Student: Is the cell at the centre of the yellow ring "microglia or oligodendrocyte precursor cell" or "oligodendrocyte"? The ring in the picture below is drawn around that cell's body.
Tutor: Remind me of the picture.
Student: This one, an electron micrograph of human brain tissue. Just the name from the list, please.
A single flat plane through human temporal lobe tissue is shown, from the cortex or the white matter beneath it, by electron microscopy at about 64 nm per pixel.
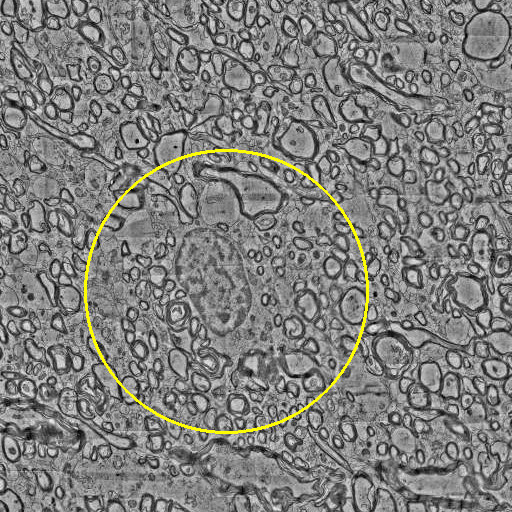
oligodendrocyte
